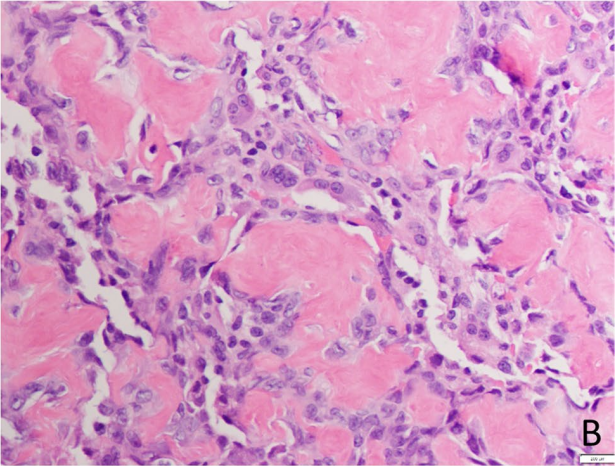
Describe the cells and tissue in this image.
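Bone forming tumor with nodular areas of pale pink immature osteoid separated by narrow cellular strands. The nodules are rimmed by mononuclear cells with round to oval nuclei and modest pink cytoplasm. Clefts separate cells from the matrix in places, giving a slightly discohesive look.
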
